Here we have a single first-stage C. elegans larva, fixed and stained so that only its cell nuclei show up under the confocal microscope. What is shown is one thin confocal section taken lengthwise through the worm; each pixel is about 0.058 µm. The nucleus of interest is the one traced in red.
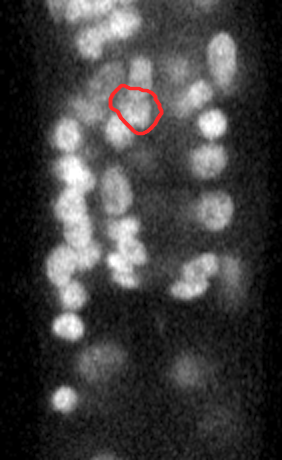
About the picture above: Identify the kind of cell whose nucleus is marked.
pharyngeal marginal cell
